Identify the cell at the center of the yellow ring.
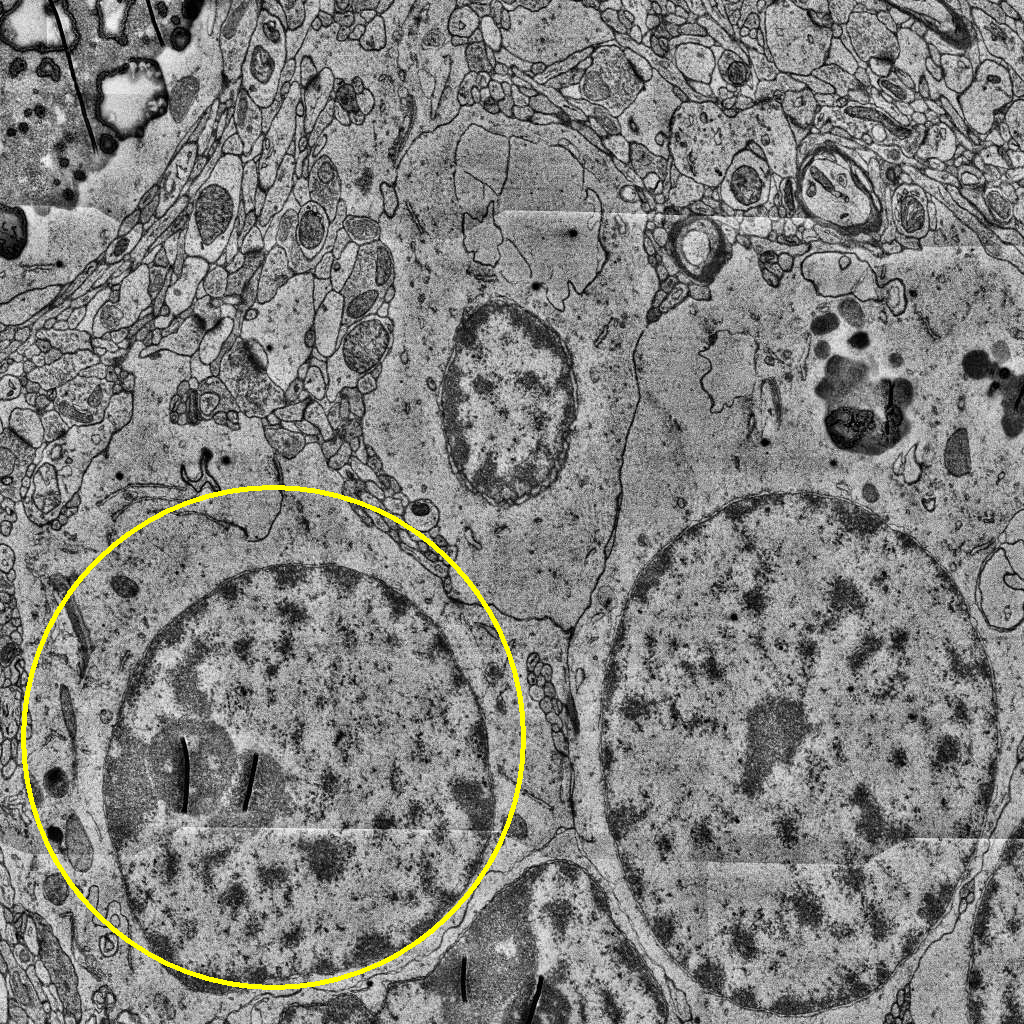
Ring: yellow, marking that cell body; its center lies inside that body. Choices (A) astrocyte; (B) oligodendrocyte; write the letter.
A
